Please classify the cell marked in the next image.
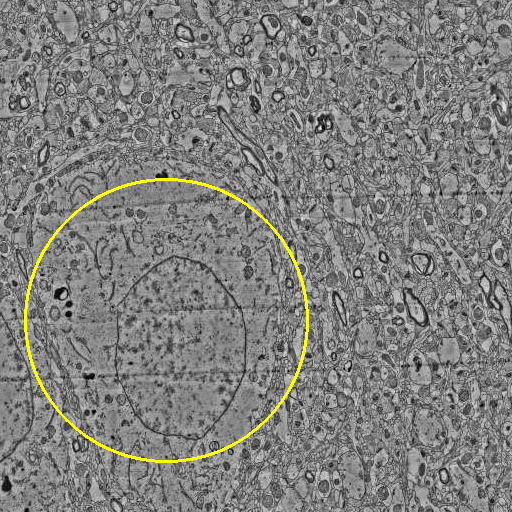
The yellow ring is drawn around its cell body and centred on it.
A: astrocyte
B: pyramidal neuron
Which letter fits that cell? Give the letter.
B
